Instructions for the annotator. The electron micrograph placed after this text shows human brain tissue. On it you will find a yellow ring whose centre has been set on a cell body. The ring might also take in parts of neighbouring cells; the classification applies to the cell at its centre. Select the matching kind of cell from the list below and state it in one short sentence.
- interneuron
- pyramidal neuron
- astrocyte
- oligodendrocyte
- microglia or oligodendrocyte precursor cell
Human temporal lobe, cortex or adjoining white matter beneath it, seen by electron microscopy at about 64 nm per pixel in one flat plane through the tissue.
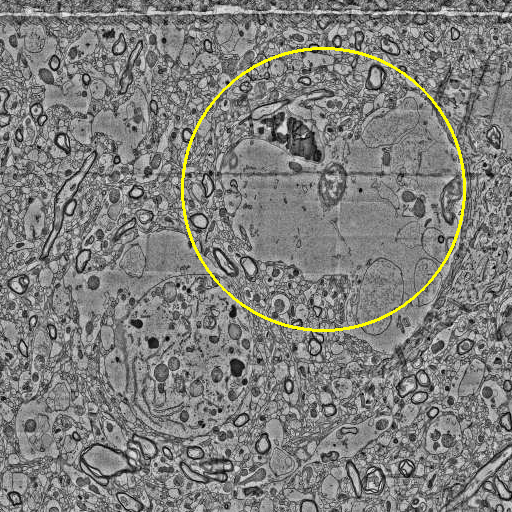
The ring is drawn on the cell body of an astrocyte.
